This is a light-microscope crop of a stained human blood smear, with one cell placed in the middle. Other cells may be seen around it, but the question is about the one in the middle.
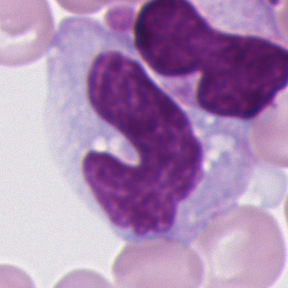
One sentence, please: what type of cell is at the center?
Whatever else lies nearby, the middle cell is a monocyte.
